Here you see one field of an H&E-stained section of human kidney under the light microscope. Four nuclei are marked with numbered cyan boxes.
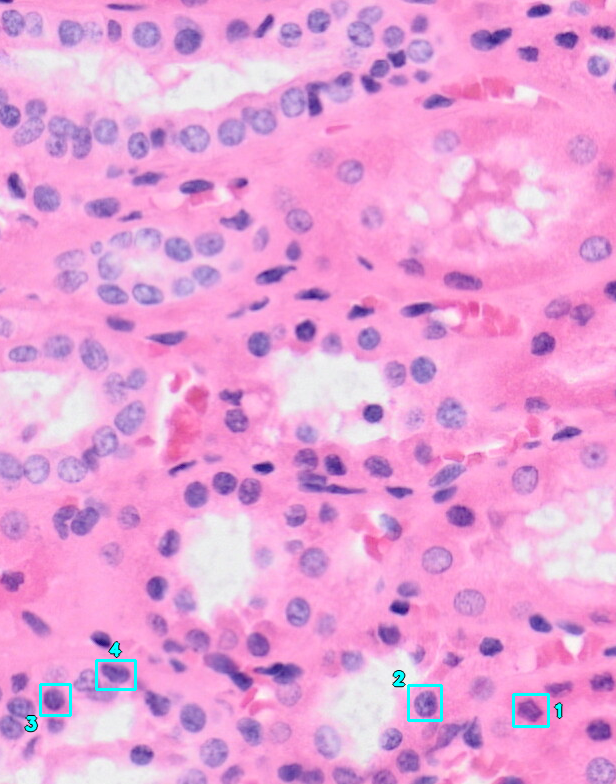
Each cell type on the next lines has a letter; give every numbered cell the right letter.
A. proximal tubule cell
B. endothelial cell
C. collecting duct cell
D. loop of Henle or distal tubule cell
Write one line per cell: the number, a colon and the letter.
1: A
2: D
3: C
4: C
